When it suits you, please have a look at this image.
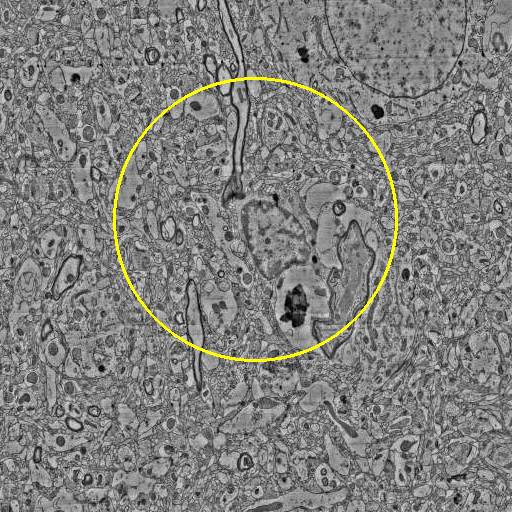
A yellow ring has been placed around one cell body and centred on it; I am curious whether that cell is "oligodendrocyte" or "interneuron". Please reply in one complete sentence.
The ringed cell, an oligodendrocyte, has its body at the centre of the yellow ring.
